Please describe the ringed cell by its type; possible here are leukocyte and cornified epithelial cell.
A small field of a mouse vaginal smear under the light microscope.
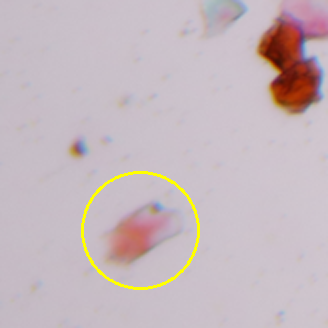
The yellow ring marks a cornified epithelial cell.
